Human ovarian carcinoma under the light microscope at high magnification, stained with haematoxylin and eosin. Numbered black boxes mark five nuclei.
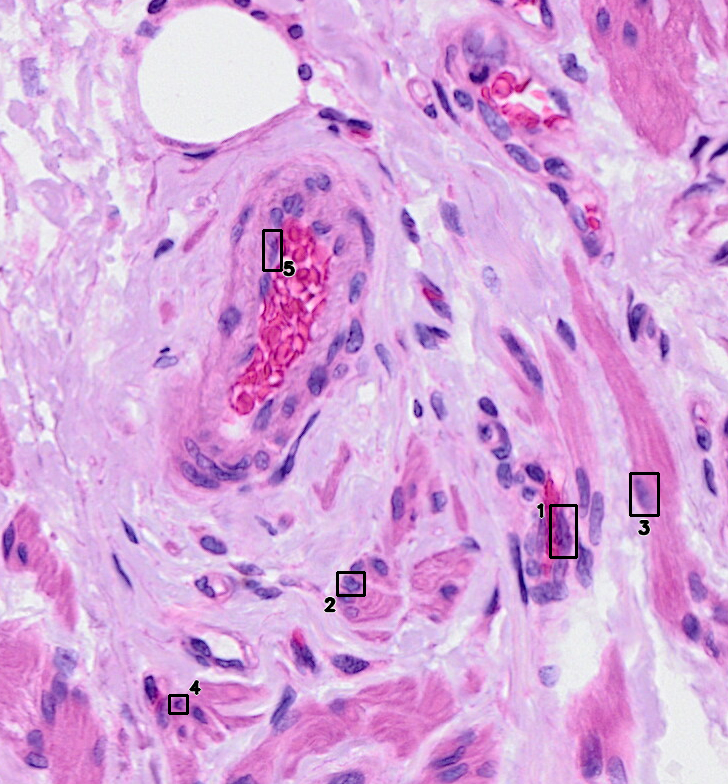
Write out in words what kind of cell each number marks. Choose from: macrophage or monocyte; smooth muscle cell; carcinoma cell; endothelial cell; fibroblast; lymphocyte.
Cell 1 is an endothelial cell, cell 2 is a smooth muscle cell, cell 3 is a smooth muscle cell, cell 4 is a smooth muscle cell and cell 5 is an endothelial cell.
